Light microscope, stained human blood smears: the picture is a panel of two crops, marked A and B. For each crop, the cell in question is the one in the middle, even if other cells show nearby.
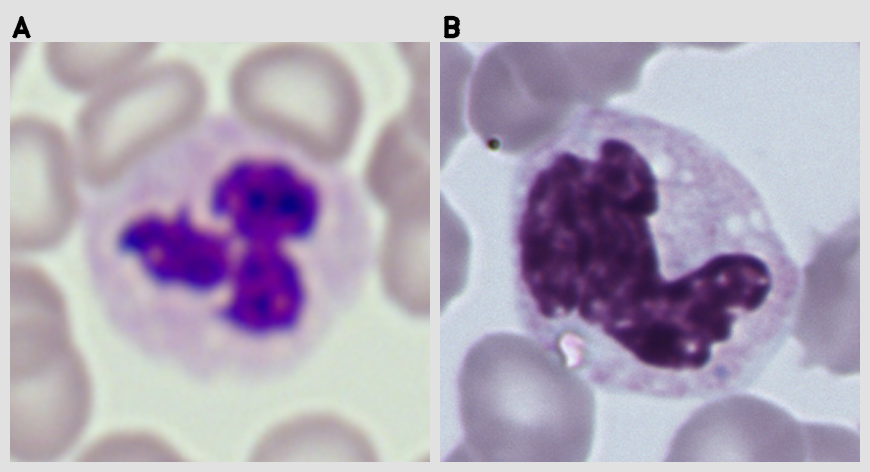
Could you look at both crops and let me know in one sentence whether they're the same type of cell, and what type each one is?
Yes, both the first crop and the second crop show neutrophils.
